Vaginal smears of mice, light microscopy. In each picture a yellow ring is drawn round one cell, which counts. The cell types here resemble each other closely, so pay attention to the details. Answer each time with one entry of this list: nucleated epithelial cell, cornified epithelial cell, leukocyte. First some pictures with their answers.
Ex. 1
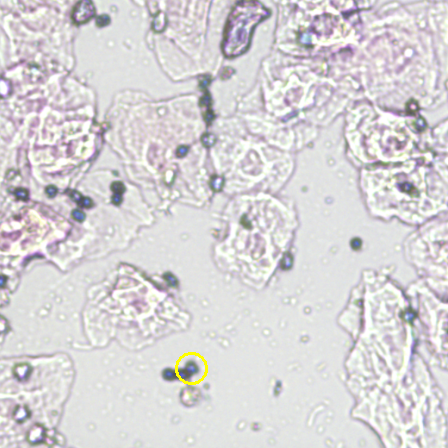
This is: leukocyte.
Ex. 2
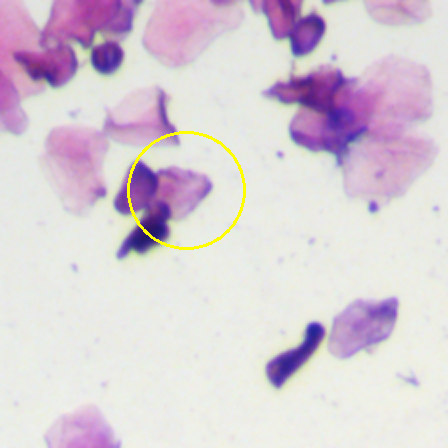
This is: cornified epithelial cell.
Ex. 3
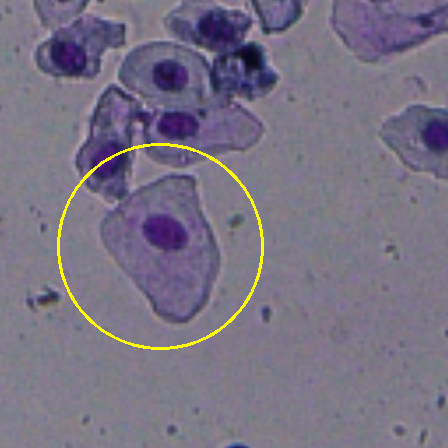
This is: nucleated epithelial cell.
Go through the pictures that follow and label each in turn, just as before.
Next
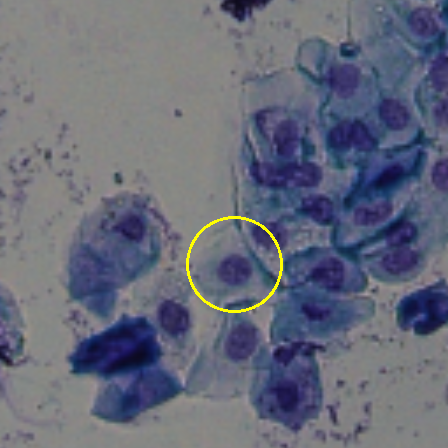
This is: nucleated epithelial cell.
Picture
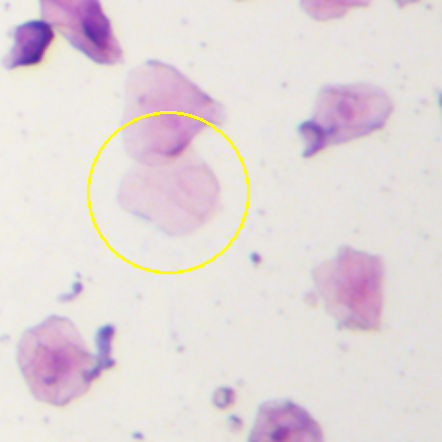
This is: cornified epithelial cell.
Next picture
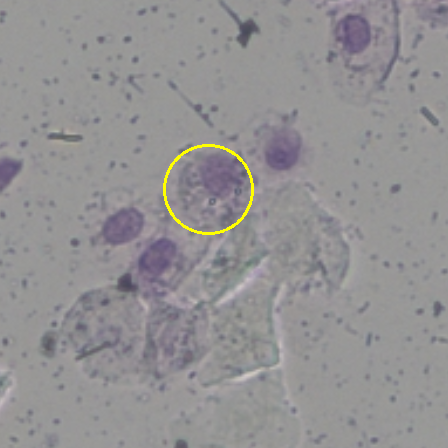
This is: nucleated epithelial cell.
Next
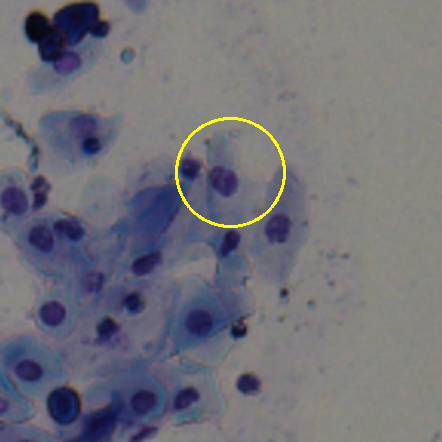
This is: nucleated epithelial cell.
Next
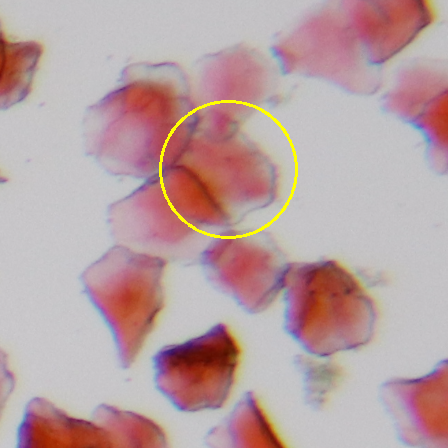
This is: cornified epithelial cell.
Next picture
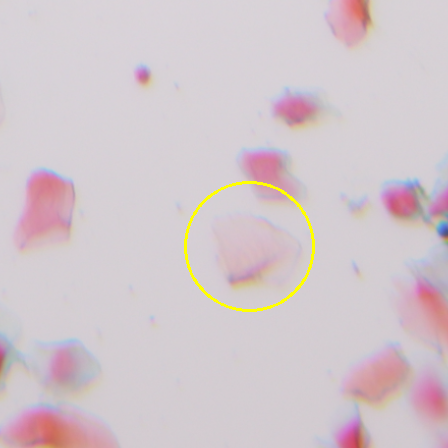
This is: cornified epithelial cell.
